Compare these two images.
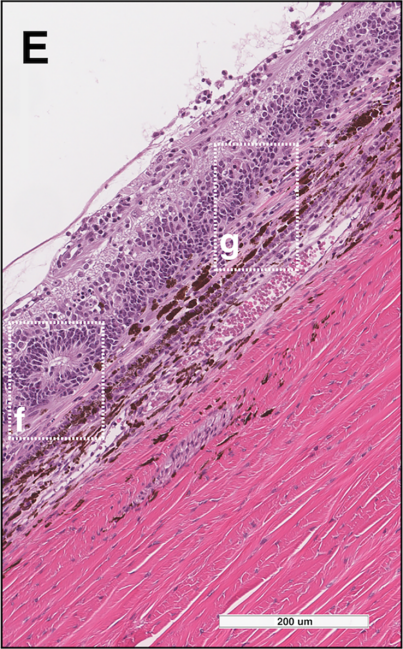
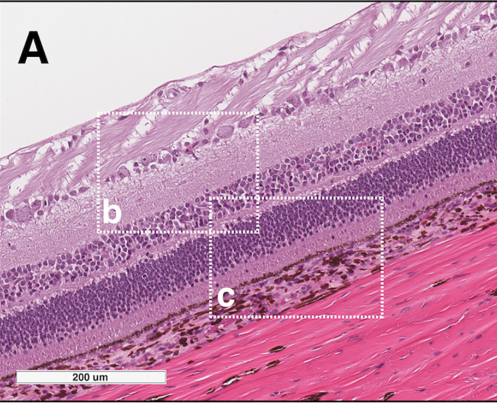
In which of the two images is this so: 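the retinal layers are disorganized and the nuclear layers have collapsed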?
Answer: The first image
